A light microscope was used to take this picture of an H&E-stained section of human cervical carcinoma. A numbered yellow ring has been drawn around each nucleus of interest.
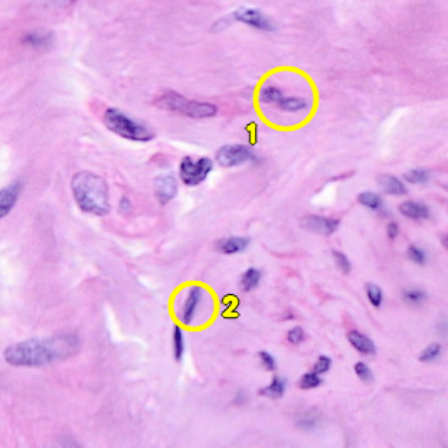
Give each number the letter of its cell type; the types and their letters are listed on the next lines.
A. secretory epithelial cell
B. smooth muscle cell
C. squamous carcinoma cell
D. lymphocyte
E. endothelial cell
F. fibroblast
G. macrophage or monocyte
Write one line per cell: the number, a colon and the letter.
1: B
2: F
